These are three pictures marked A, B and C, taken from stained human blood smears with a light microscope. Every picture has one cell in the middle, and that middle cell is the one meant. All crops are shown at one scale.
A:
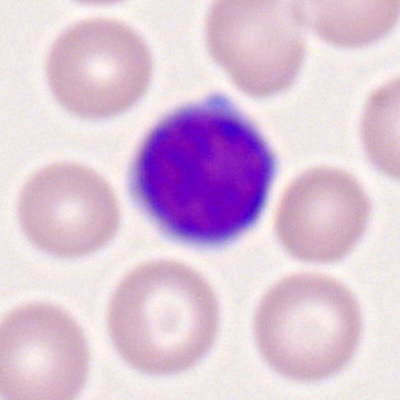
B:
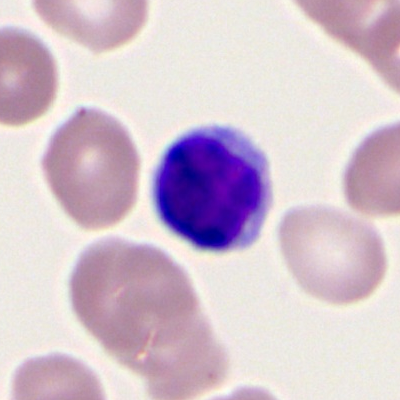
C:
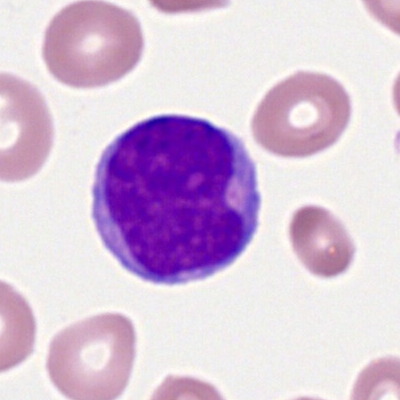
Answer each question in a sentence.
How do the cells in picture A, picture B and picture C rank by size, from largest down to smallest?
Largest first: C, A, B.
